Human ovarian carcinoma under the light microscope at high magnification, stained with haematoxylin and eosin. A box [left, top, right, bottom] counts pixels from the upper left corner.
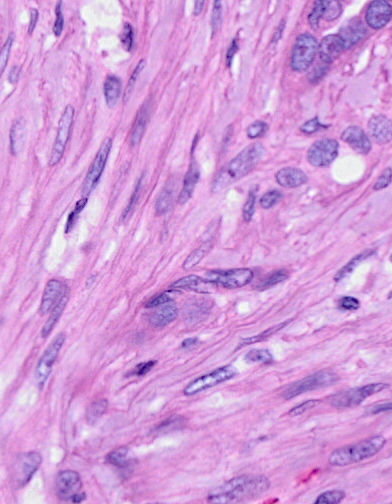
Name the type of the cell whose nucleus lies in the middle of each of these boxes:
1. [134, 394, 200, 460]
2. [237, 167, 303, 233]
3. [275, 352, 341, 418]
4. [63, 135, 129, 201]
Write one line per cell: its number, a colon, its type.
1: fibroblast
2: macrophage or monocyte
3: fibroblast
4: fibroblast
